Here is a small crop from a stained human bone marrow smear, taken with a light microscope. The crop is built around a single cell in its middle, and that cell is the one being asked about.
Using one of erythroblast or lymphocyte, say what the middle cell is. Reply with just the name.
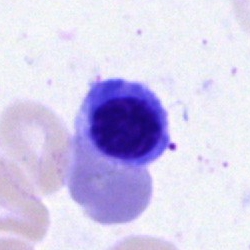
erythroblast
